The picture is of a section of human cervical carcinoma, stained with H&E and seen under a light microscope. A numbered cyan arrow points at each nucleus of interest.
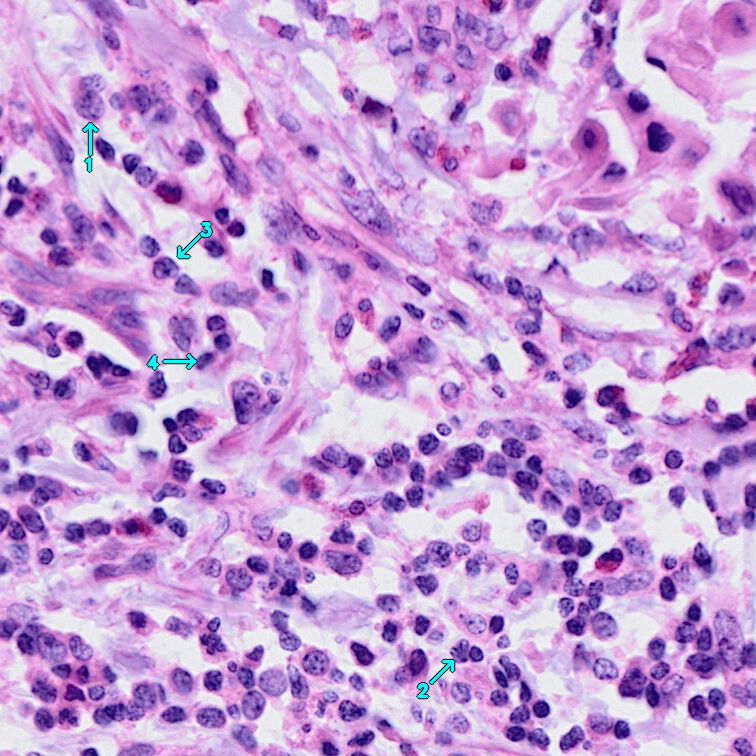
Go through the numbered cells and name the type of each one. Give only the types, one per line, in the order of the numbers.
macrophage or monocyte
lymphocyte
lymphocyte
lymphocyte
